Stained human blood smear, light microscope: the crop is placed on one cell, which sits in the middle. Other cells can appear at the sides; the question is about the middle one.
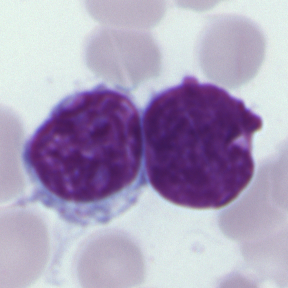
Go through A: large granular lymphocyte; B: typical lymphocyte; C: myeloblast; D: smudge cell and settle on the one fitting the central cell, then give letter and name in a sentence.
Option C is the keyed answer: the cell in the middle is a myeloblast.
